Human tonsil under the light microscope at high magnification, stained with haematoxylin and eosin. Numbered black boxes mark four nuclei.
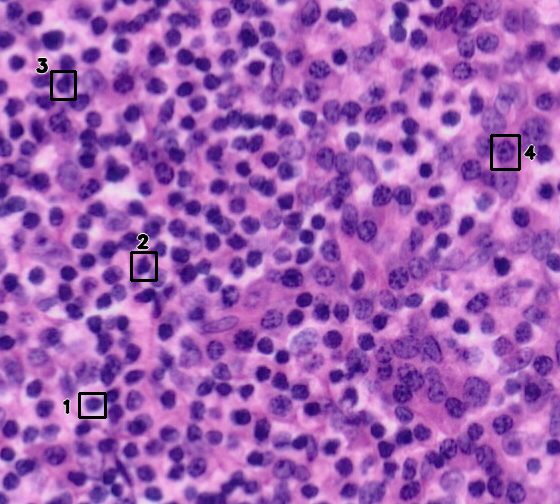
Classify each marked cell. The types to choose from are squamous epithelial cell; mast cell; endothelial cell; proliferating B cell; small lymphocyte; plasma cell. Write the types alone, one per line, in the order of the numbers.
small lymphocyte
small lymphocyte
small lymphocyte
plasma cell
